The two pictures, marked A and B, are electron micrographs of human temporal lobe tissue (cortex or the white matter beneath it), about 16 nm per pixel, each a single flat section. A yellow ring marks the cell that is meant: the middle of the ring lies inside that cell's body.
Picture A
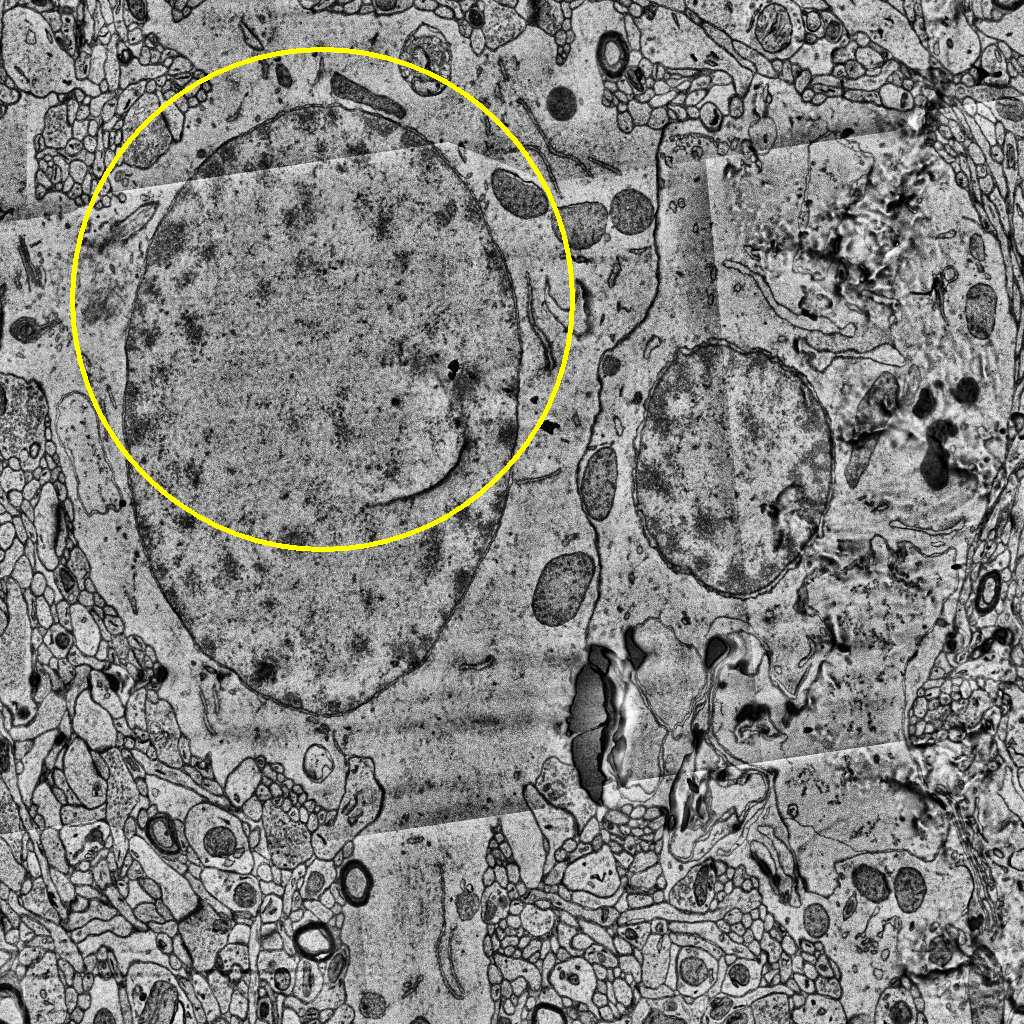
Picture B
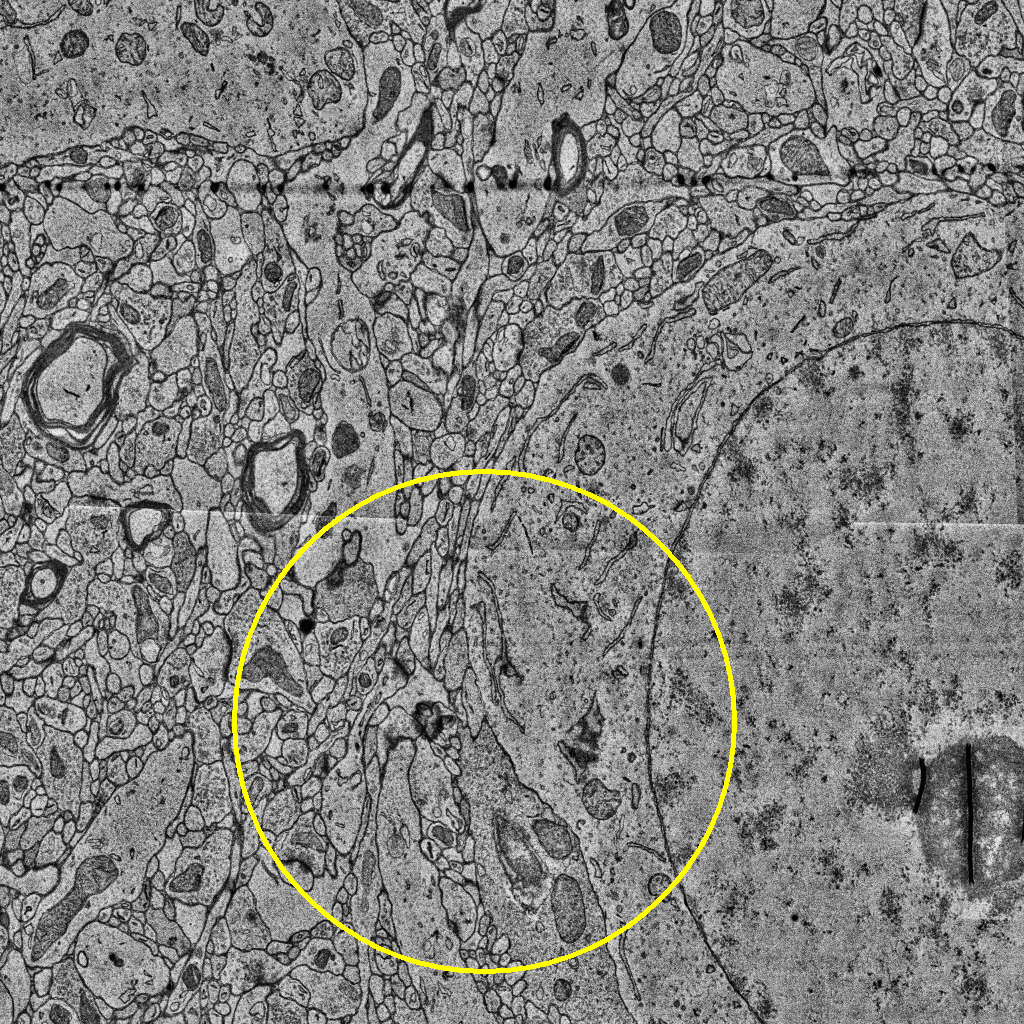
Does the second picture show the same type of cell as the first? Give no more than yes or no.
no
